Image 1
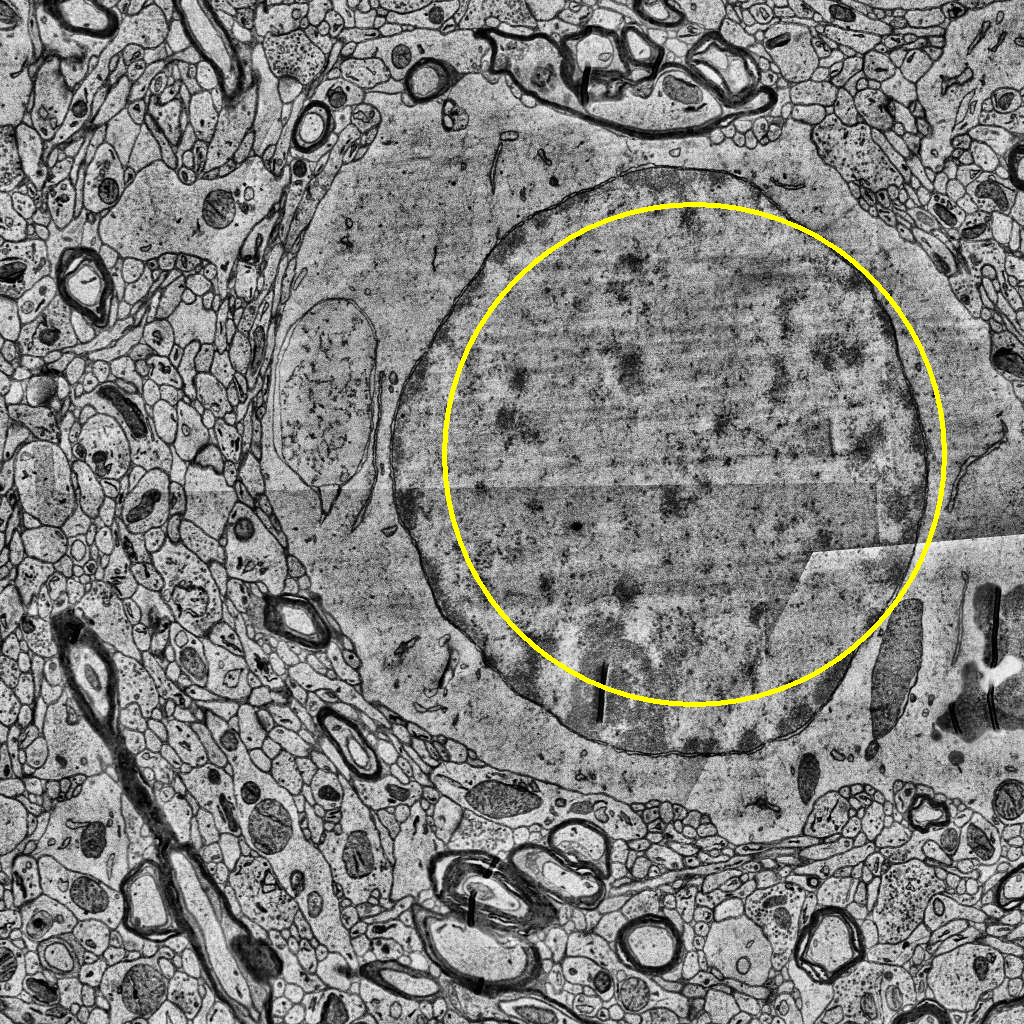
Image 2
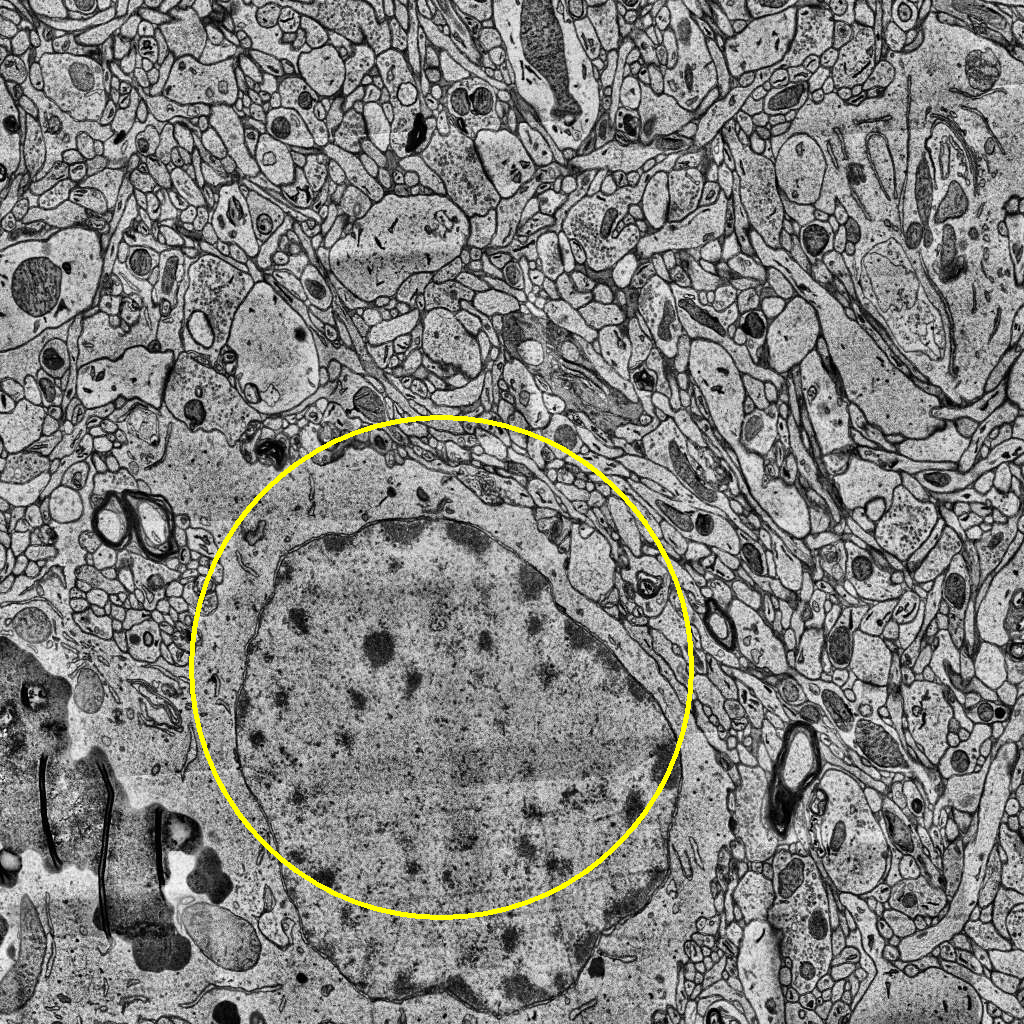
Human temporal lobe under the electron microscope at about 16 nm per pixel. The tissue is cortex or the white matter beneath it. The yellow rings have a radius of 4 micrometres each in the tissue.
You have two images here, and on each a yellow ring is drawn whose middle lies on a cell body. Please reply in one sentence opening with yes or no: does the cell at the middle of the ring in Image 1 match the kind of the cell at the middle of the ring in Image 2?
Yes, the two images show cells of one kind at the centres of their rings.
